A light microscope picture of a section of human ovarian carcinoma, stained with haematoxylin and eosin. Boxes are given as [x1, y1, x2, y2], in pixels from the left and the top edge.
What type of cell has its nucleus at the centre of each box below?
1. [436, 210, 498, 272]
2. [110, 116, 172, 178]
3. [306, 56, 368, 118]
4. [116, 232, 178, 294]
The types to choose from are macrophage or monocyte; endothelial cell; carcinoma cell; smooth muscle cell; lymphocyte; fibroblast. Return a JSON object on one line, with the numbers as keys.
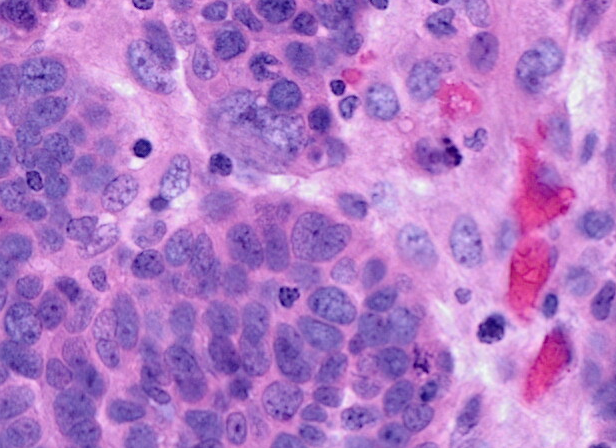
{"1": "fibroblast", "2": "lymphocyte", "3": "lymphocyte", "4": "carcinoma cell"}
